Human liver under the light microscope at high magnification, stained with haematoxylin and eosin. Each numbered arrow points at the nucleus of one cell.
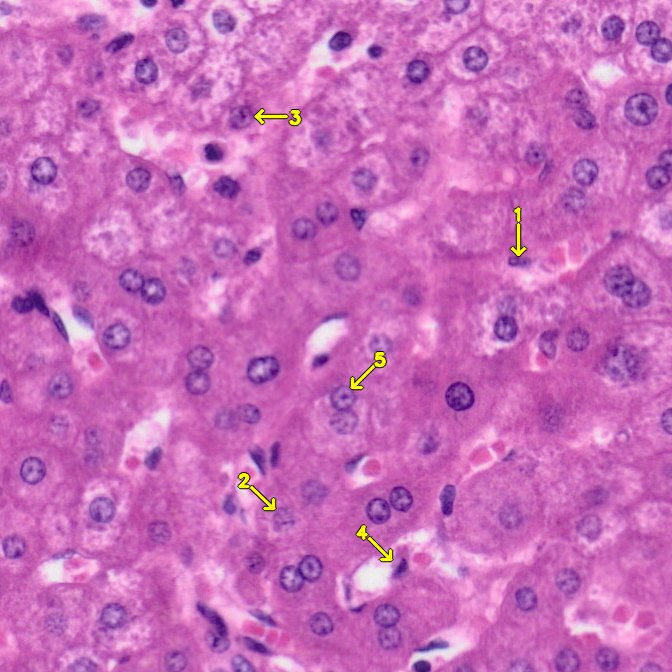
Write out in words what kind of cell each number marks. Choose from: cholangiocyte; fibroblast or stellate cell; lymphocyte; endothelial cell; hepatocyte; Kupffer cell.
Cell 1 is an endothelial cell, cell 2 is a hepatocyte, cell 3 is a hepatocyte, cell 4 is a Kupffer cell and cell 5 is a hepatocyte.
